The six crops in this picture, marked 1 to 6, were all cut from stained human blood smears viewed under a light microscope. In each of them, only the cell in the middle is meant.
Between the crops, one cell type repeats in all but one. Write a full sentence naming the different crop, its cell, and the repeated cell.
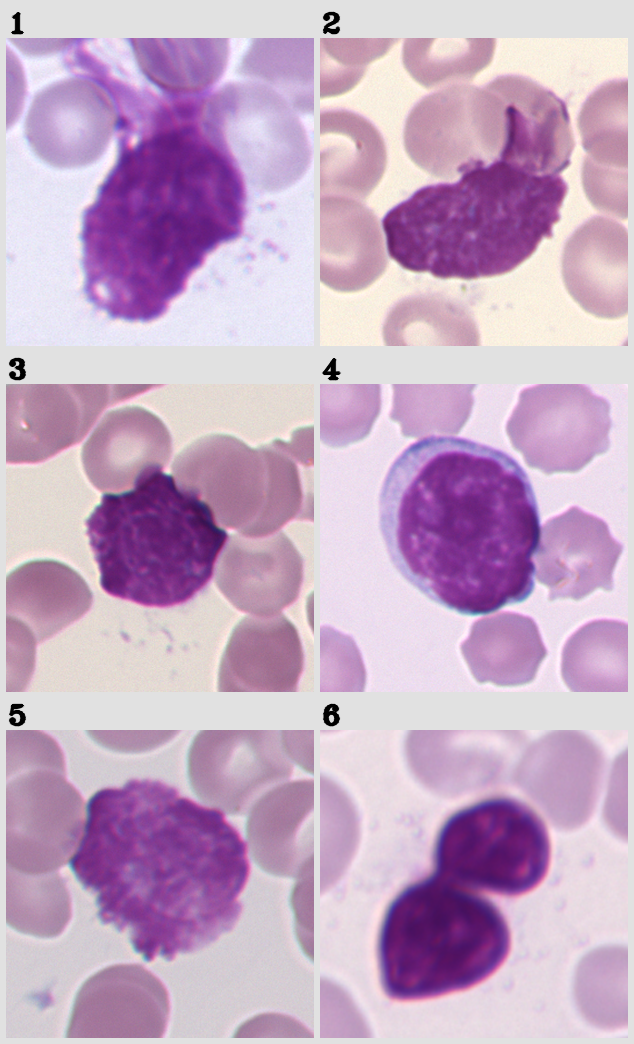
The odd one out is crop 4, a typical lymphocyte, and all other crops show smudge cells.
